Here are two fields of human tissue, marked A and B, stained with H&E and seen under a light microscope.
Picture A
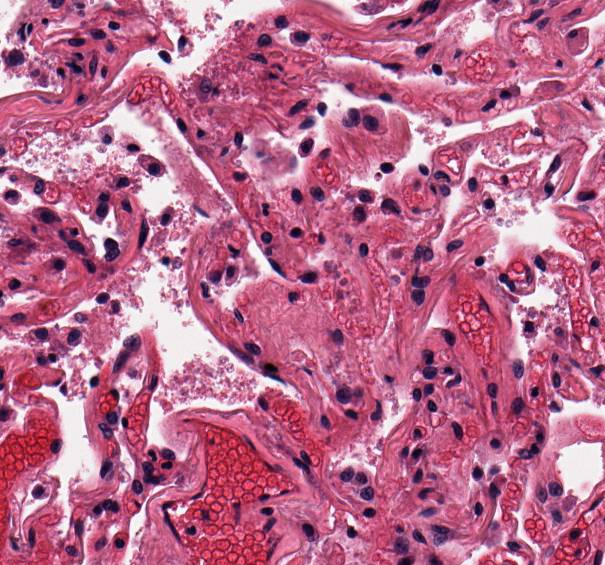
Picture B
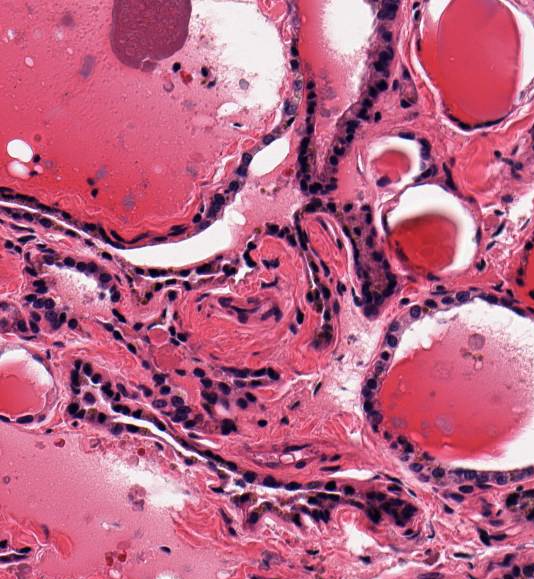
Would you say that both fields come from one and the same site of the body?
no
